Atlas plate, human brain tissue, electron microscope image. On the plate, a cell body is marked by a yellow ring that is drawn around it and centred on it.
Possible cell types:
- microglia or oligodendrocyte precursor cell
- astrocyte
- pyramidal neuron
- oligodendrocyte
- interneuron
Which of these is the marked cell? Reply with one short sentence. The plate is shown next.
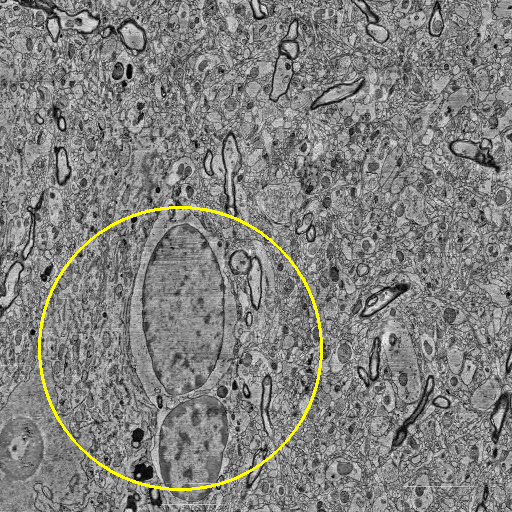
The marked cell is a microglial cell or oligodendrocyte precursor cell.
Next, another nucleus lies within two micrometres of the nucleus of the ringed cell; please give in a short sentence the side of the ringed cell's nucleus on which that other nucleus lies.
That other nucleus sits below it.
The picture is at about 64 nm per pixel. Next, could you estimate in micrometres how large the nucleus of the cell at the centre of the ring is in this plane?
Roughly 11 by 5 micrometers, clearly longer than it is wide in this plane.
